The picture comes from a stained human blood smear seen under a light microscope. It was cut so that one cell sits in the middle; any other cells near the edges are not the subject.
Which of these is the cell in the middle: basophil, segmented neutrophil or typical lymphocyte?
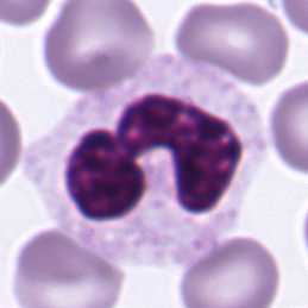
segmented neutrophil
